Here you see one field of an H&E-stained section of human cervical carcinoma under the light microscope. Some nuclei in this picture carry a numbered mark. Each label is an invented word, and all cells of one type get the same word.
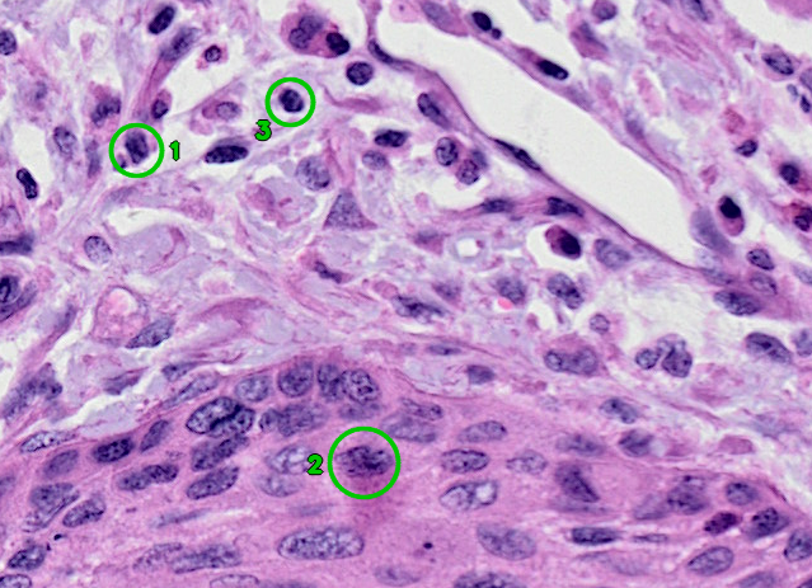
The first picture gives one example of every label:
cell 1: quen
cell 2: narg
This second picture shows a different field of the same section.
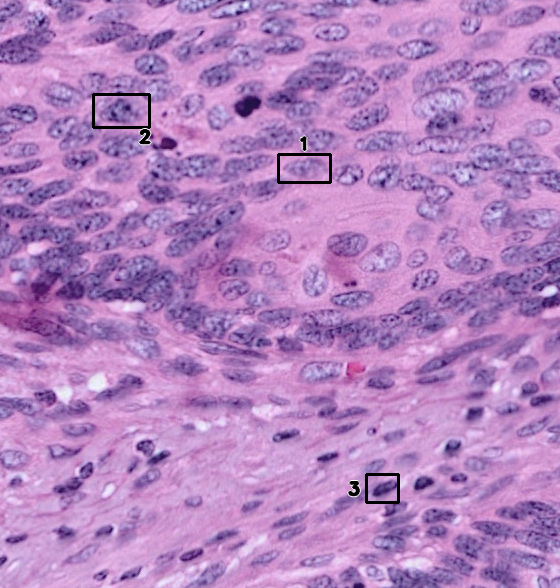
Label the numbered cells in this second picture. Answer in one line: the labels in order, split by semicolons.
narg; narg; quen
